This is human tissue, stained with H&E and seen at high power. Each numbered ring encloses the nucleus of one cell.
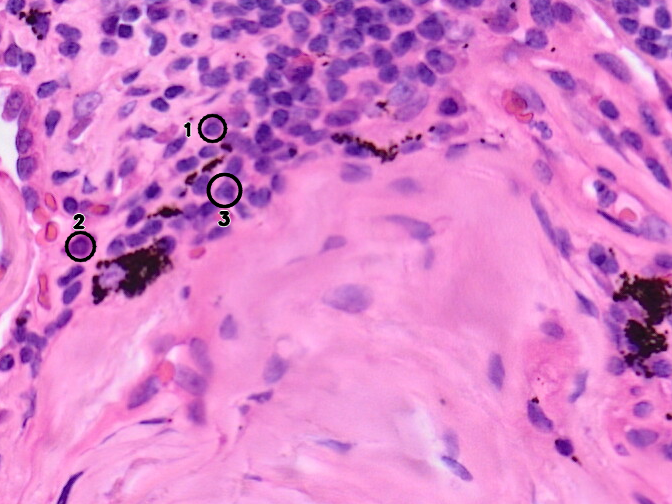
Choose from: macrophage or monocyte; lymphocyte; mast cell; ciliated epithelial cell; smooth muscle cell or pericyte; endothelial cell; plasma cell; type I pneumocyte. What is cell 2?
plasma cell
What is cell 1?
lymphocyte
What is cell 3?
lymphocyte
